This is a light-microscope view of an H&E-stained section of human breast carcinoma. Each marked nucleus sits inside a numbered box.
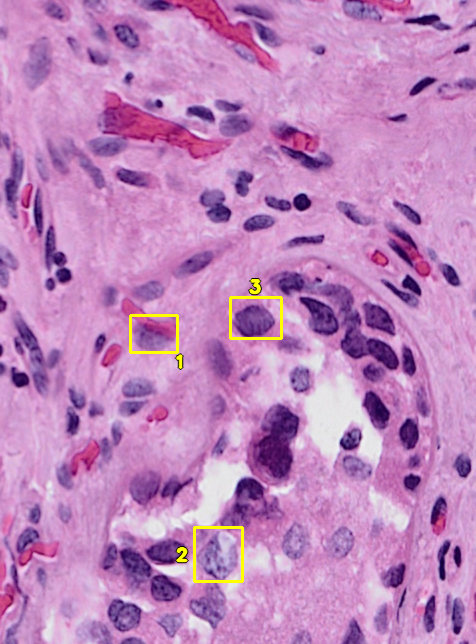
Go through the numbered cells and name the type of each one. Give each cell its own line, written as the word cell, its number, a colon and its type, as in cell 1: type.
cell 1: endothelial cell
cell 2: carcinoma cell
cell 3: carcinoma cell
